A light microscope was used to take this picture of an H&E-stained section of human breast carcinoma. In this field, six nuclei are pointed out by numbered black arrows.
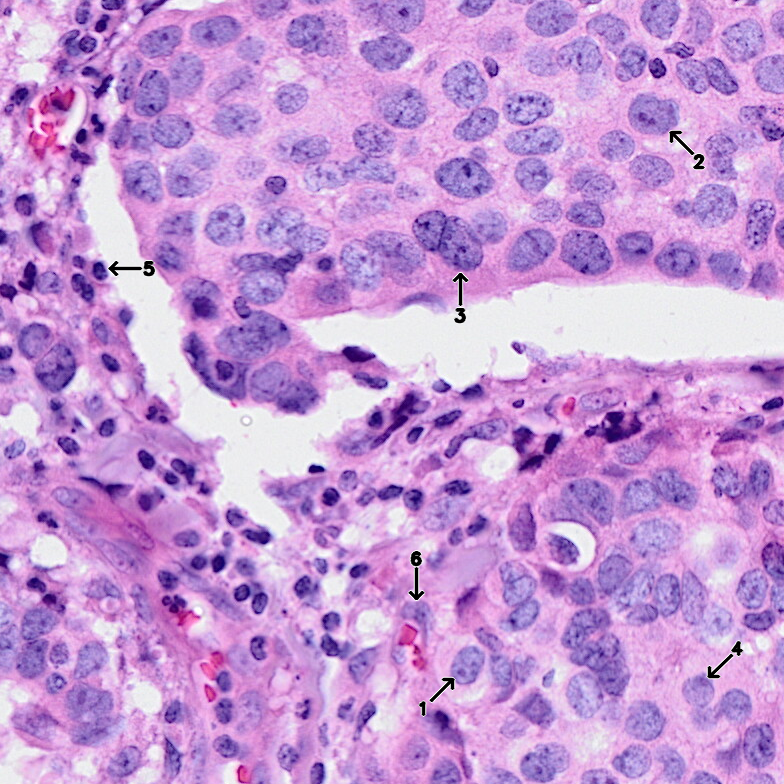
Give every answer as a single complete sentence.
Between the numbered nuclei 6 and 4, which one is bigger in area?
Nucleus 4 is larger, with an area about 1.5 times that of nucleus 6.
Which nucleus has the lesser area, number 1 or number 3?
With nucleus 3 about 1.5 times its size, nucleus 1 is the smaller of the two.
